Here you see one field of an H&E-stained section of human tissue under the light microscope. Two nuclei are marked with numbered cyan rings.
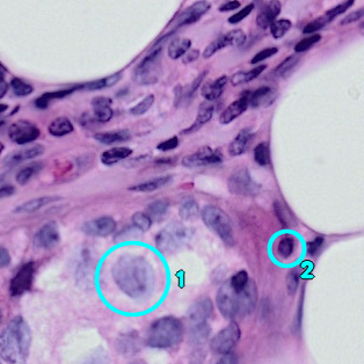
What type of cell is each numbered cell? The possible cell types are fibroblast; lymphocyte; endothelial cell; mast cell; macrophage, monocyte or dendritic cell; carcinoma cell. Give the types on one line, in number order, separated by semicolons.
carcinoma cell; lymphocyte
